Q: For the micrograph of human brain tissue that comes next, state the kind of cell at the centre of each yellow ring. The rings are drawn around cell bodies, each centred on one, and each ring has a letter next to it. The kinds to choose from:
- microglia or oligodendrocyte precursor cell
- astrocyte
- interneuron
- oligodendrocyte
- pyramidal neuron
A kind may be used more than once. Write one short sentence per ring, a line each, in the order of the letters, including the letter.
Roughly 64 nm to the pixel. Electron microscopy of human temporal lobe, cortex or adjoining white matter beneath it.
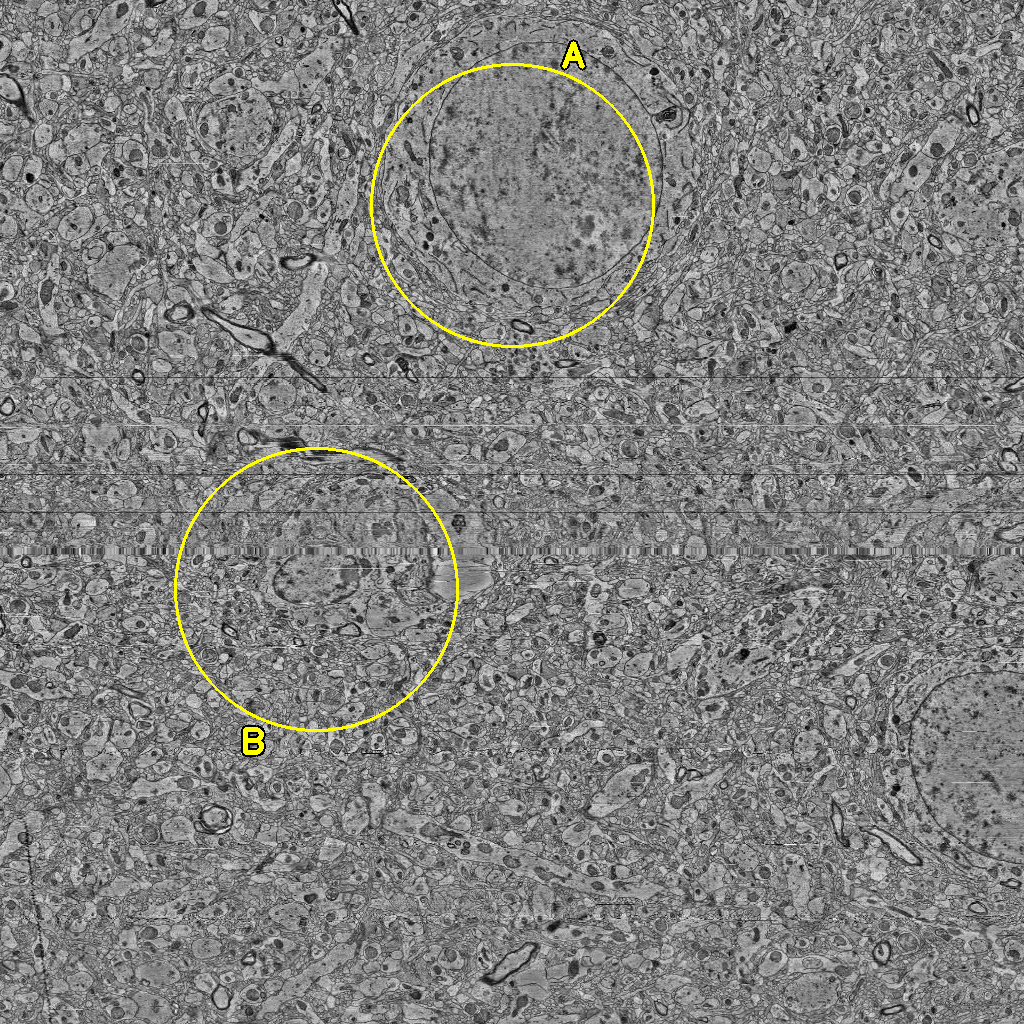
The cell ringed as A is a pyramidal neuron.
The cell ringed as B is a microglial cell or oligodendrocyte precursor cell.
